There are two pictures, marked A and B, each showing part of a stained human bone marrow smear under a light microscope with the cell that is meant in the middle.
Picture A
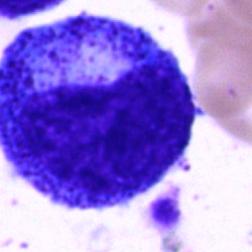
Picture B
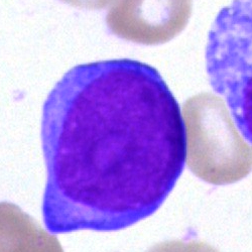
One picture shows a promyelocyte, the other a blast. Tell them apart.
A: promyelocyte
B: blast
